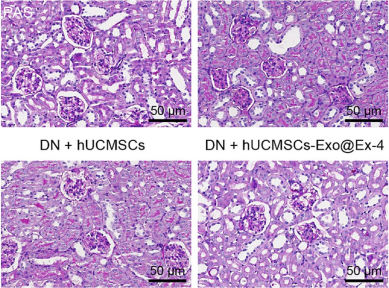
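Glomeruli appear as round capillary tufts with magenta matrix between densely packed nuclei, each surrounded by a clear Bowman's space and a thin capsule. Between them lie tubules cut in cross section, lined by cuboidal epithelium with pink granular cytoplasm and round basal nuclei. Tubular lumina are mostly narrow; in the upper right field several tubules and spaces are widened and the tufts look denser in magenta matrix. Interstitium between tubules is scant.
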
